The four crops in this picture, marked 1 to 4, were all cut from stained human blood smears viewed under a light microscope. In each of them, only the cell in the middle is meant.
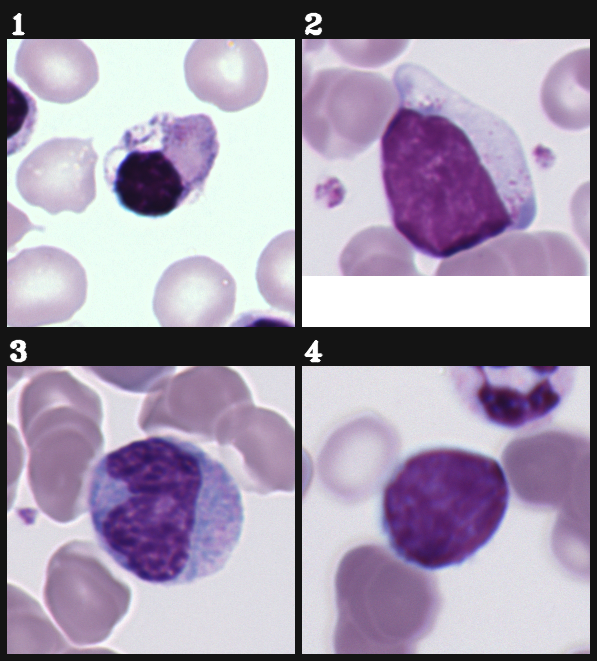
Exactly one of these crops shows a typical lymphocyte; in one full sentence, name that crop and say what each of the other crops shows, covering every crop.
The centred cell in crop 4 is a typical lymphocyte; meanwhile, crop 1 is a normoblast, crop 2 is a large granular lymphocyte and crop 3 is a monocyte.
